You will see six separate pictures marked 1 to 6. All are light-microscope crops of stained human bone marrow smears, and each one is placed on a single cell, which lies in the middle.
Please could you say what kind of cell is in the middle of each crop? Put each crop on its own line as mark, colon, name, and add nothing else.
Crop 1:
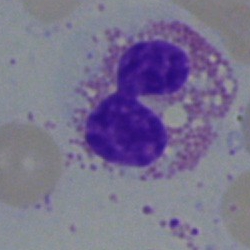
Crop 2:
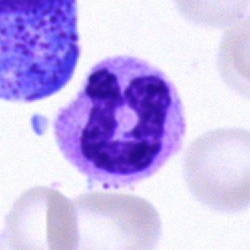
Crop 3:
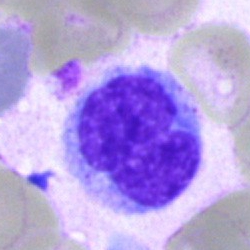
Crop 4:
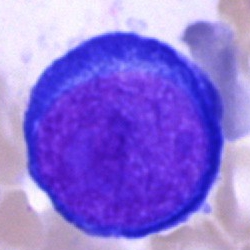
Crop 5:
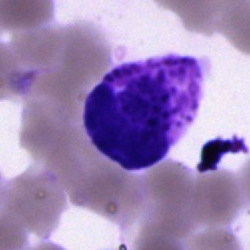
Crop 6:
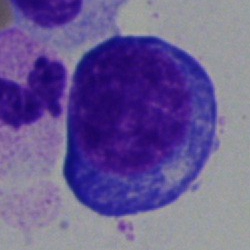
1: eosinophil
2: segmented neutrophil
3: metamyelocyte
4: proerythroblast
5: basophil
6: proerythroblast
